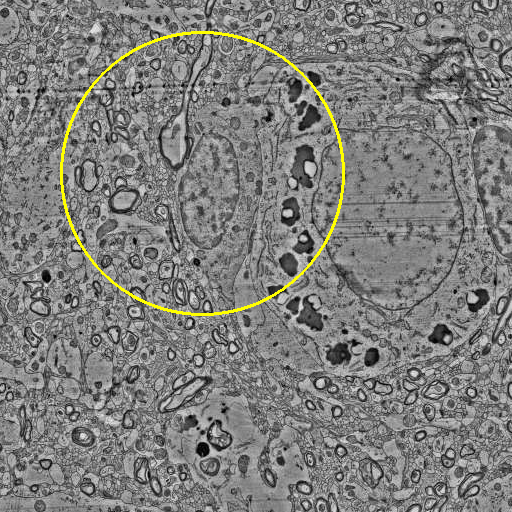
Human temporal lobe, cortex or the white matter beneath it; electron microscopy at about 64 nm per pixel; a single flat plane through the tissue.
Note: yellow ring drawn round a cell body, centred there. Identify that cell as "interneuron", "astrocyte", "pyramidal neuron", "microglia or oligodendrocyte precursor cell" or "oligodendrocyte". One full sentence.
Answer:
The cell in the middle of the ring is an oligodendrocyte.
